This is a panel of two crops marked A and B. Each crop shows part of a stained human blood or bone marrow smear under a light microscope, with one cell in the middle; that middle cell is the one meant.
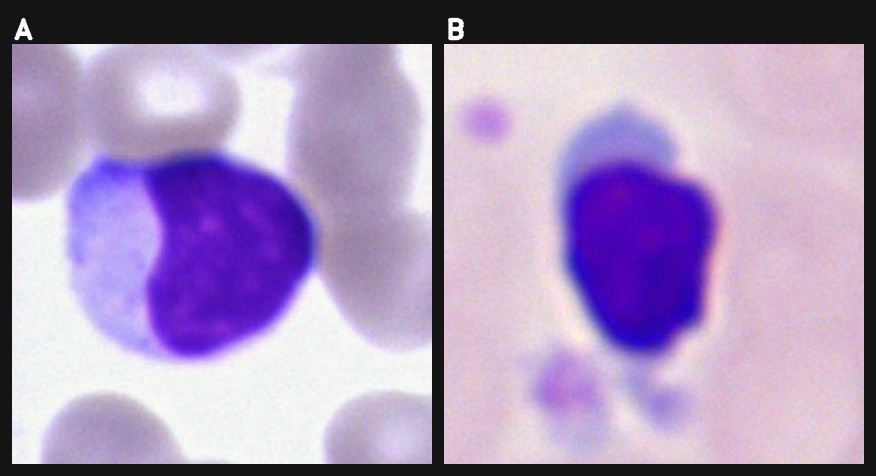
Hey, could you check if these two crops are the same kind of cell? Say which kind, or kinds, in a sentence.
Yes, the cells under consideration in both crops are lymphocytes.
